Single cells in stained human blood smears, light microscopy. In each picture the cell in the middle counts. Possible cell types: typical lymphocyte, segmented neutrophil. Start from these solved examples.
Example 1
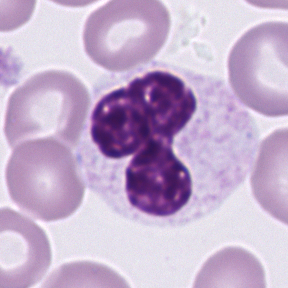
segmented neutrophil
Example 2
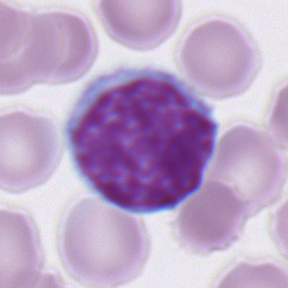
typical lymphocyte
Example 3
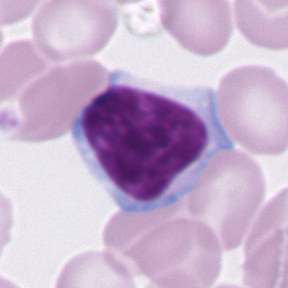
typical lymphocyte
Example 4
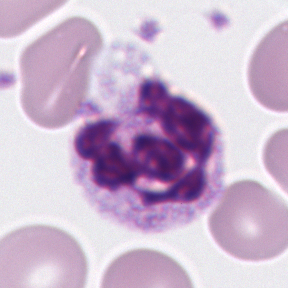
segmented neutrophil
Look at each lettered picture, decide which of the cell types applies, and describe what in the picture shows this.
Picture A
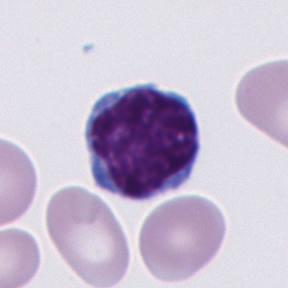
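typical lymphocyte. Evidence: The cytoplasm forms a thin rim that is widest at the lower left of the cell.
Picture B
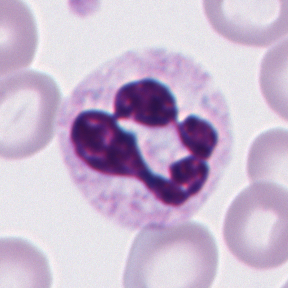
segmented neutrophil. Evidence: The cytoplasm is abundant and pale pinkish-lilac.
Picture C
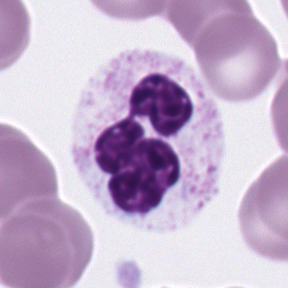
segmented neutrophil. Evidence: The cytoplasm is pale pinkish and nearly colourless.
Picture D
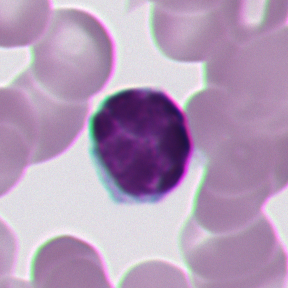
typical lymphocyte. Evidence: The nucleus is a single unlobed mass.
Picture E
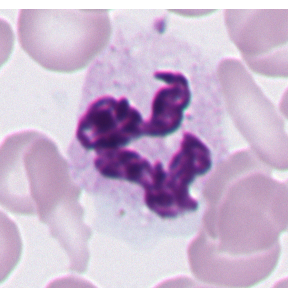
segmented neutrophil. Evidence: The nucleus is split into more than two lobes joined by narrow strands.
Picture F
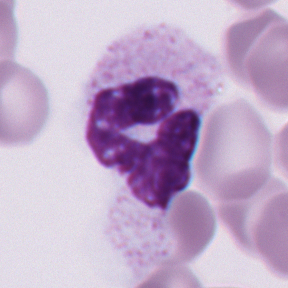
segmented neutrophil. Evidence: The nucleus is bent into a thick horseshoe that encloses a small pale gap near its middle.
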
